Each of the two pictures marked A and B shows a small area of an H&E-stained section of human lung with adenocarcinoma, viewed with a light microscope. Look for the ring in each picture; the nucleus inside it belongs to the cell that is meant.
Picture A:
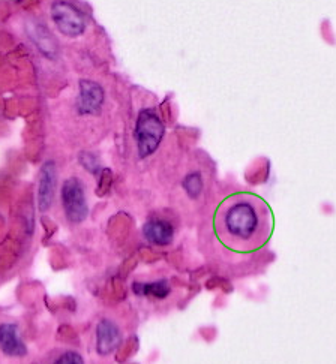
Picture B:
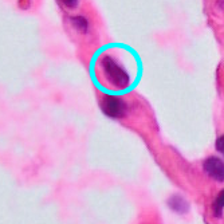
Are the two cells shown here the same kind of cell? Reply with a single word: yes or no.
no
